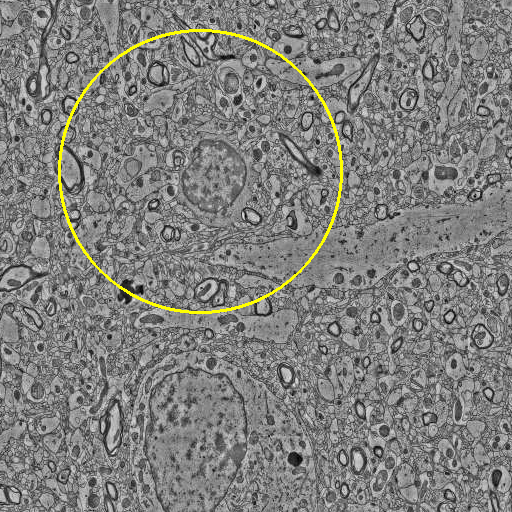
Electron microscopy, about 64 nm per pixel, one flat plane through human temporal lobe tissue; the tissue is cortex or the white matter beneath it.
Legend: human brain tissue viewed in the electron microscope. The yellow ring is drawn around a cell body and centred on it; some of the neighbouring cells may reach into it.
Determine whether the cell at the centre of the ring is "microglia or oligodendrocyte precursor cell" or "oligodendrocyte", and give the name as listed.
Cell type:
oligodendrocyte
